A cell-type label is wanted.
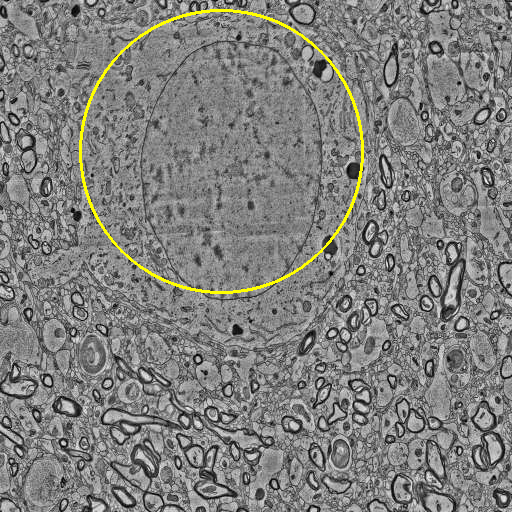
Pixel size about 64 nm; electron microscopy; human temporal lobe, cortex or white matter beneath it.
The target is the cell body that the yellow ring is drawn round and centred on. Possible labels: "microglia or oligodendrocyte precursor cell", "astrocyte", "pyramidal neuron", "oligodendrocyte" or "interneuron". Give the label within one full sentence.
Of the labels offered, the cell in the middle of the yellow ring is a pyramidal neuron.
